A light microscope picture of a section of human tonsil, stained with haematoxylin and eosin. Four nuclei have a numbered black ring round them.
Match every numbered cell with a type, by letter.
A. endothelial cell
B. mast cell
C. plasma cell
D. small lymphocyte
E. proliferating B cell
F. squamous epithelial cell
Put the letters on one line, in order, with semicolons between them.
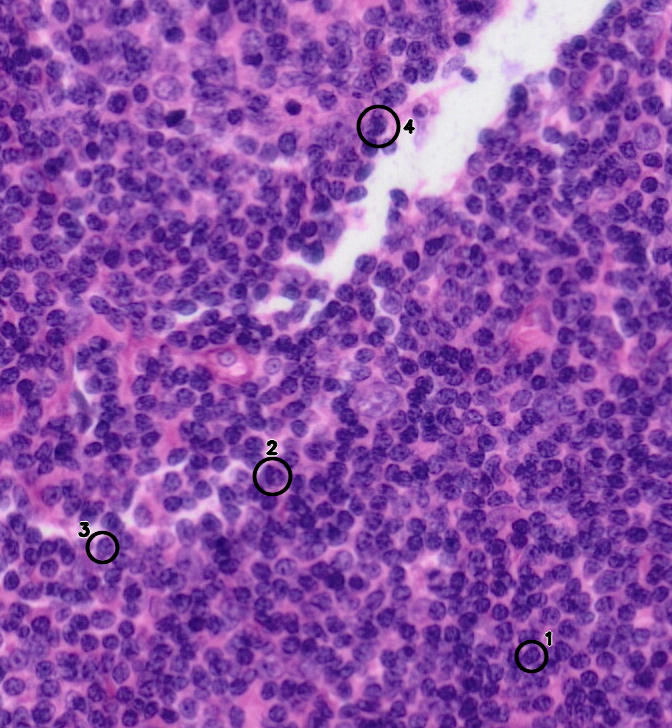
D; D; D; E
